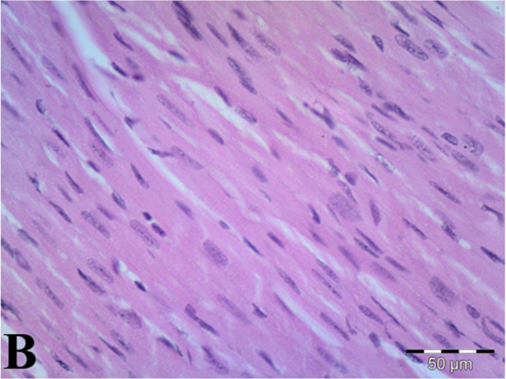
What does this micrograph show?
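This is heart muscle at high magnification, with myocardial fibers cut along their length. The fibers are filled with evenly pink cytoplasm and run side by side in a diagonal direction. Their nuclei are oval to elongated, pale purple with fine chromatin, and sit within the fibers along their long axis. Thin, slender dark nuclei lying in the narrow clefts between fibers belong to the cells of the interstitium. The fibers are closely packed, with only narrow pale slits between them.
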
